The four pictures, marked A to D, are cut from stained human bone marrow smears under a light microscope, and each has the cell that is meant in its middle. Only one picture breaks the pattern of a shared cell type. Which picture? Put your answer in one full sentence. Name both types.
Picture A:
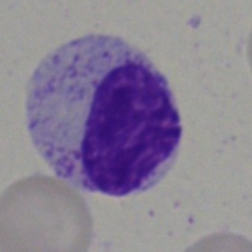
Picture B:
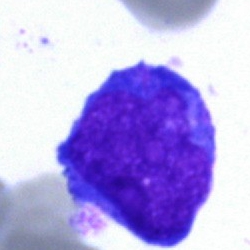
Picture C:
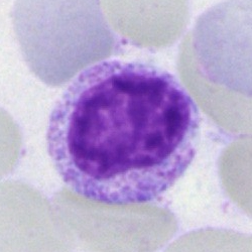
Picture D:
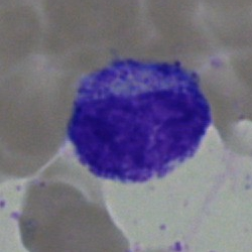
Picture B is the odd one out: it shows a blast, while the others show myelocytes.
